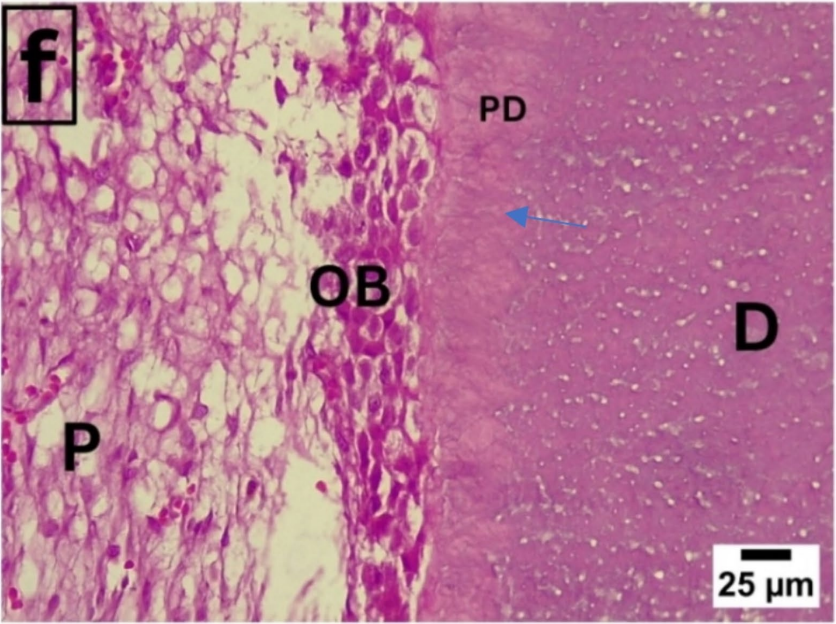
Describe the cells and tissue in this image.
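This section shows pulp-like tissue with a layer of odontoblast-like cells lining dentine-like hard tissue. The odontoblast-like cells form a dense, dark pink band of rounded to ovoid cells crowded in several rows at the border of the hard tissue. The pulp-like tissue behind them is loose with a meshwork of pale spaces and contains scattered red blood cells. A band of predentine separates the cells from the hard tissue, and faint processes run into it. The hard tissue is evenly pink and dotted with small pale spots.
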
